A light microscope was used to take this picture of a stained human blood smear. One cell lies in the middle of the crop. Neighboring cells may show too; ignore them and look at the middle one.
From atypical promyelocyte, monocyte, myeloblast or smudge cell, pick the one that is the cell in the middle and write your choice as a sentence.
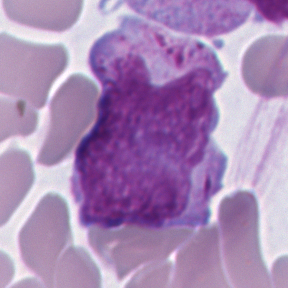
The centrally positioned cell in the crop represents an atypical promyelocyte.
